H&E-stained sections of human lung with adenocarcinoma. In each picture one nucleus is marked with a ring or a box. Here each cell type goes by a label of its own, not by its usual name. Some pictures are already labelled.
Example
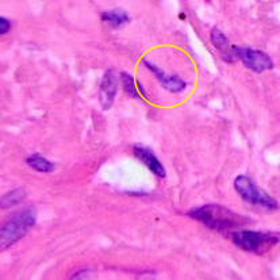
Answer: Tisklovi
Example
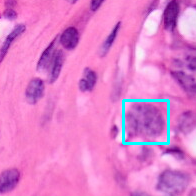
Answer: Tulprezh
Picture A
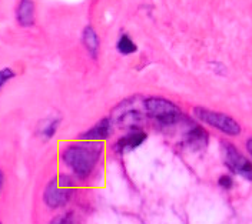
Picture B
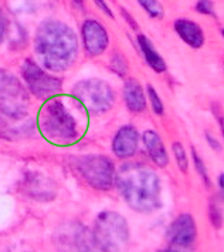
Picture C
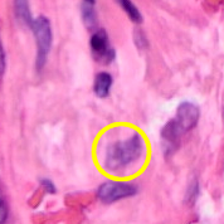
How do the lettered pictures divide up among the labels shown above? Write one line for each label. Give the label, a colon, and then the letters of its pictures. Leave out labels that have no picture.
Tisklovi: C
Tulprezh: A, B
